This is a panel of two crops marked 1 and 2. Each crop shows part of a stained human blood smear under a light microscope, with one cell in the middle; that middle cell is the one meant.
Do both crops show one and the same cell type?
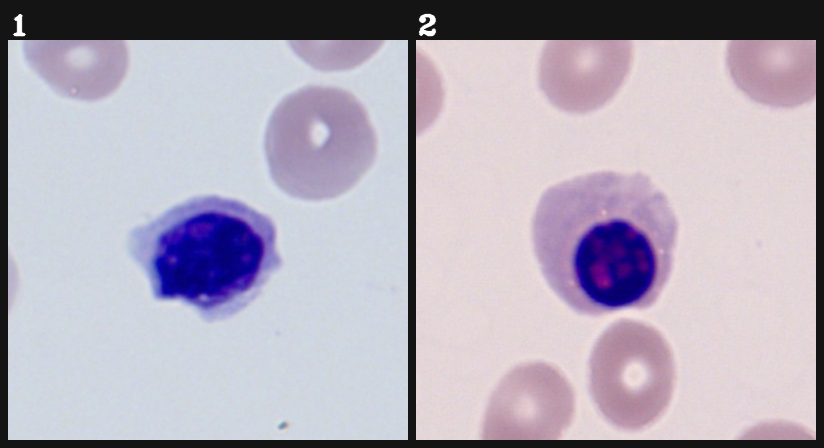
yes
